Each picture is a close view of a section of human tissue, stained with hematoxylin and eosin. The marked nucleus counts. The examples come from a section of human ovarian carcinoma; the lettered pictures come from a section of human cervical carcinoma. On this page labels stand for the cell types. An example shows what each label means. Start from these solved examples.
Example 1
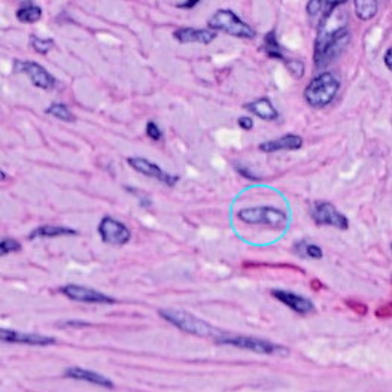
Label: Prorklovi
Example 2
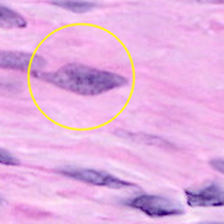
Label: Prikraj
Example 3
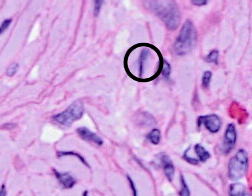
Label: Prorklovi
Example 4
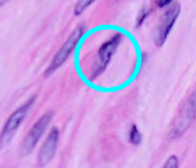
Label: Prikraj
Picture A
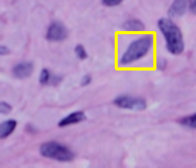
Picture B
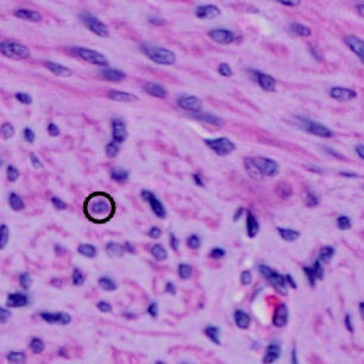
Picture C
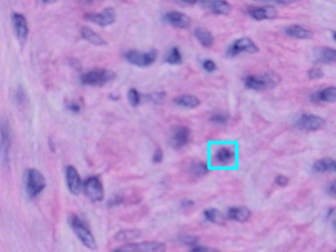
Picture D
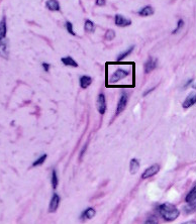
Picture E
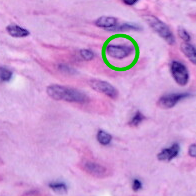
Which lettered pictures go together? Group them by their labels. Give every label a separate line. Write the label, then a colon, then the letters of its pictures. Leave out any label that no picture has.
Prorklovi: A
Prikraj: B, C, D, E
